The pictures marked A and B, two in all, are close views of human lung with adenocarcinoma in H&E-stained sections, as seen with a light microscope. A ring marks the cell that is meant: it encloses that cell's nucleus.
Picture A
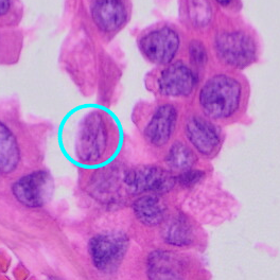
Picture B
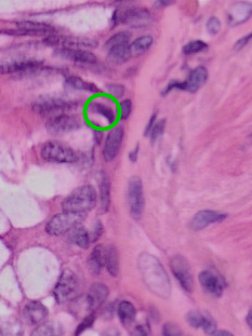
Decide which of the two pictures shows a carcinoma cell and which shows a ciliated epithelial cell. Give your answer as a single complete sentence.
In picture A the cell is a carcinoma cell; in picture B, a ciliated epithelial cell.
